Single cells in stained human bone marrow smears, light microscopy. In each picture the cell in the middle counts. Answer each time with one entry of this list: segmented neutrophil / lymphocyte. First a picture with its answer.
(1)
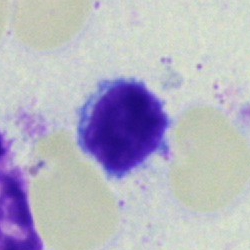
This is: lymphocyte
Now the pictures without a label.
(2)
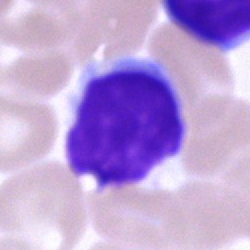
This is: lymphocyte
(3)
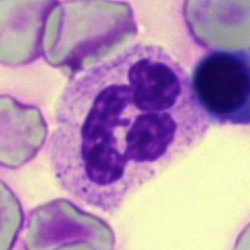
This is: segmented neutrophil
